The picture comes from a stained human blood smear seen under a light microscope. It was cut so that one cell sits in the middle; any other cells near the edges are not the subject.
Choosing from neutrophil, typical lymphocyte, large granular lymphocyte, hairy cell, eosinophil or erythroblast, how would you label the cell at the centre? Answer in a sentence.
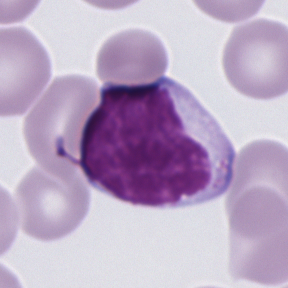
The center cell of this crop is a large granular lymphocyte.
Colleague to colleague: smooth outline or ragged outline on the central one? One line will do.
Around its circumference, the cell has an uneven edge, ragged or projecting in places.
